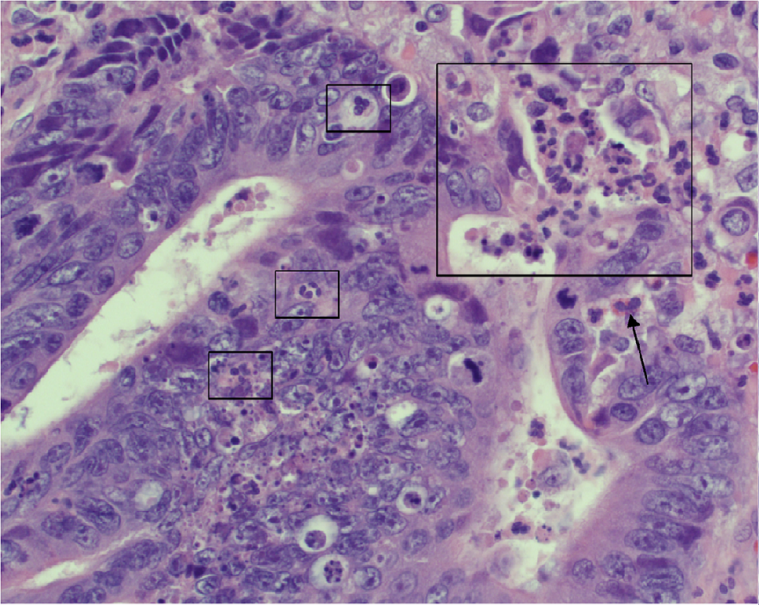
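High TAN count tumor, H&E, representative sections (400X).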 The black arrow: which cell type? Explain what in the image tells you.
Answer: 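Eosinophils. The arrowed cell has bright pink-red granular cytoplasm. Its nucleus is small, dark and lobed.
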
